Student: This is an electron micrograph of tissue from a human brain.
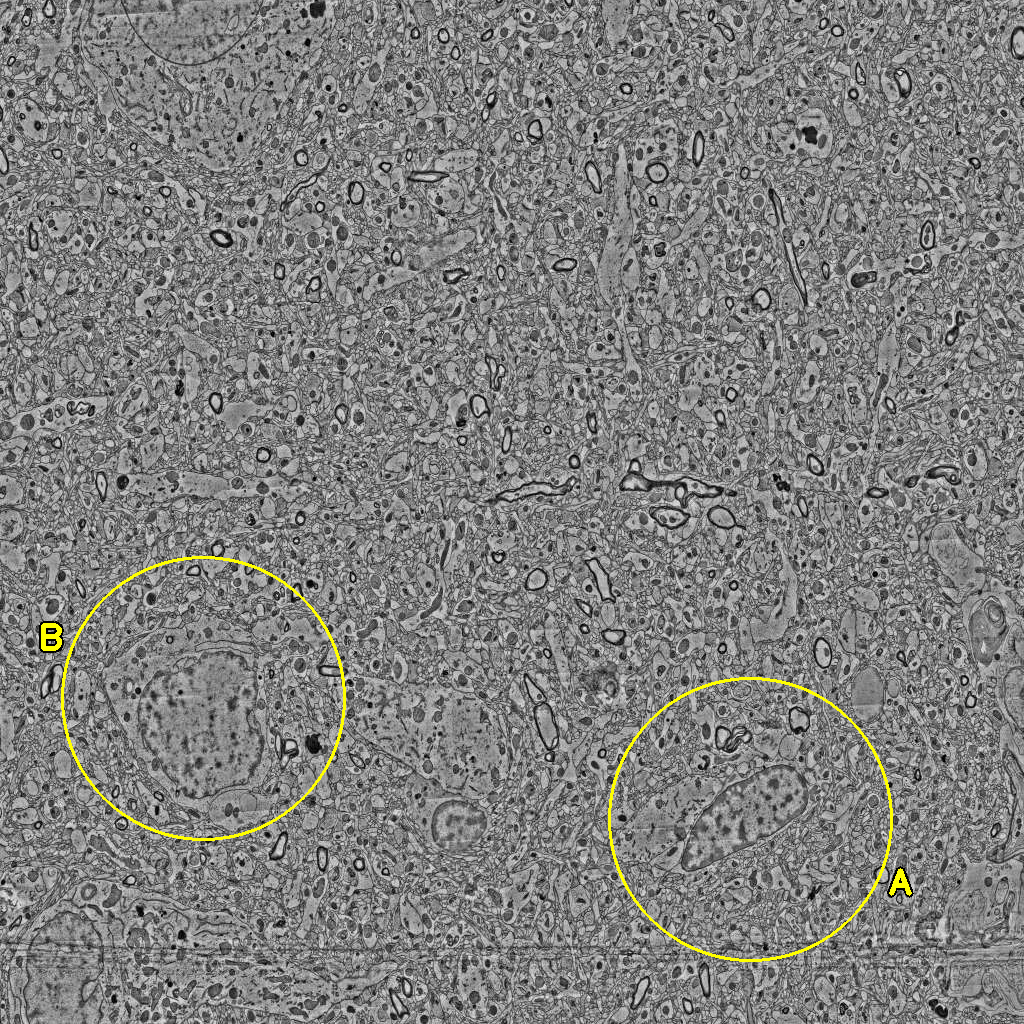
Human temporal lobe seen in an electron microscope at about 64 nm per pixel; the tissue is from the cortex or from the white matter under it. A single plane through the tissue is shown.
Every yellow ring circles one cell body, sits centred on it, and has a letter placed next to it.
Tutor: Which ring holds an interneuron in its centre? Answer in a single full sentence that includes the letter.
Ring B is the ring whose centre holds the cell asked for in the picture.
